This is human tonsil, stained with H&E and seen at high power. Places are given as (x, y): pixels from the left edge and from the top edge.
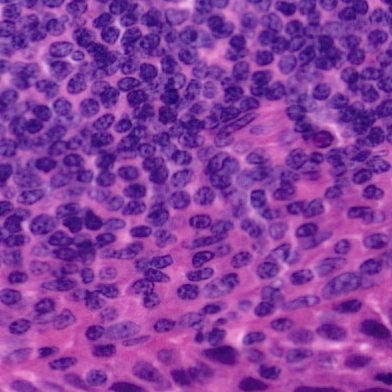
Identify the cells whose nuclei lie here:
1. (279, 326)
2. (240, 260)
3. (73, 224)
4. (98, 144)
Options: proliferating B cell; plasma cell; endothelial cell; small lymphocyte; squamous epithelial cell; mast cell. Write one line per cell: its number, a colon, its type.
1: plasma cell
2: plasma cell
3: small lymphocyte
4: small lymphocyte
